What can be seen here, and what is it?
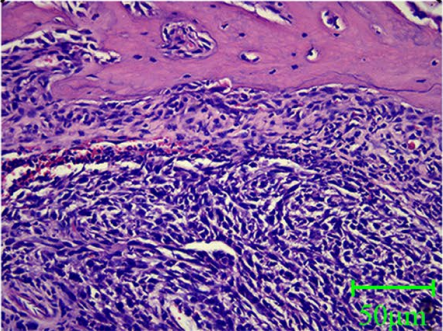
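A band of pink-staining bone with scattered osteocytes in lacunae runs across the top, and beneath it the space is filled by a dense sheet of cancer cells. These cells are spindle-shaped with elongated, dark purple nuclei and scant cytoplasm, arranged in interlacing streams and whorls. Only a few small vessels with red blood cells lie among them, and normal marrow elements are not seen.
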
